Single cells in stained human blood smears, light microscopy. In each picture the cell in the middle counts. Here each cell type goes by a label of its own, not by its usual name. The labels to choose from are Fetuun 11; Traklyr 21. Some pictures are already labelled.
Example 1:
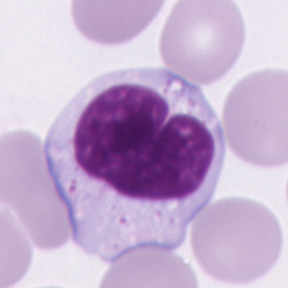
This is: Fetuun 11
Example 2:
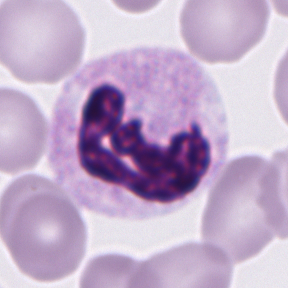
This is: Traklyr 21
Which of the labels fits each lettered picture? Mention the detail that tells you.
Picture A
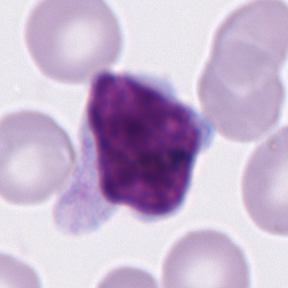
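Answer: Fetuun 11. The cytoplasm is scant compared with the large nucleus.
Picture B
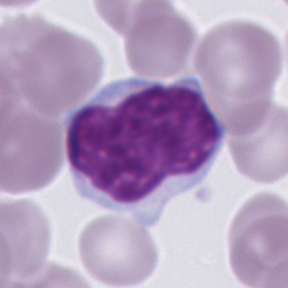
Answer: Fetuun 11. The cytoplasm forms a narrow rim that is widest below the nucleus.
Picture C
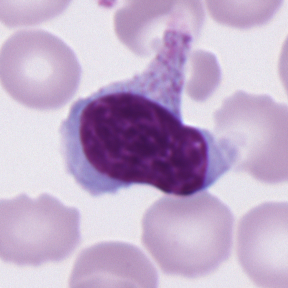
Answer: Fetuun 11. The nucleus fills most of the cell body.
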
